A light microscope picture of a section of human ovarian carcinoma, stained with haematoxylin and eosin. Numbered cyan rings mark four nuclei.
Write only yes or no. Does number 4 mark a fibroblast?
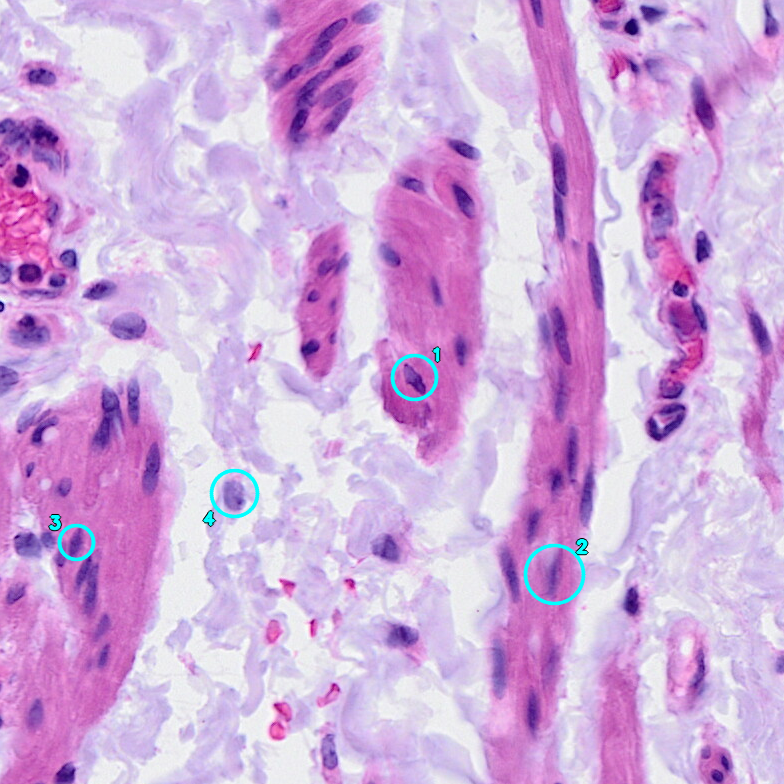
yes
